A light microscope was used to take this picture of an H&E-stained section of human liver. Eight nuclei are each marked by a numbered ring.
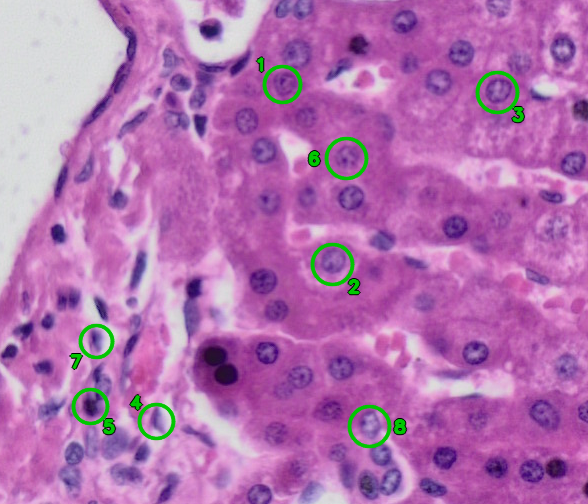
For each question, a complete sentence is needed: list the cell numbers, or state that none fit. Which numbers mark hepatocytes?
The cells with the numbers 1, 2, 3 and 6 are hepatocytes.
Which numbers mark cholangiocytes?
The cells that the numbers 5 and 8 belong to are cholangiocytes.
